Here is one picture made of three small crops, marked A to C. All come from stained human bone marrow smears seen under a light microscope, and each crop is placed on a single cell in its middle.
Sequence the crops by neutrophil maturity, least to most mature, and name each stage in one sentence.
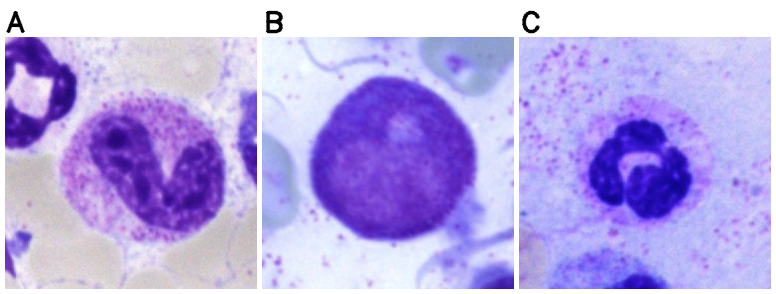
Counting from the least mature up to the most mature, the order is crop B (a promyelocyte), crop A (a band neutrophil) and crop C (a segmented neutrophil).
